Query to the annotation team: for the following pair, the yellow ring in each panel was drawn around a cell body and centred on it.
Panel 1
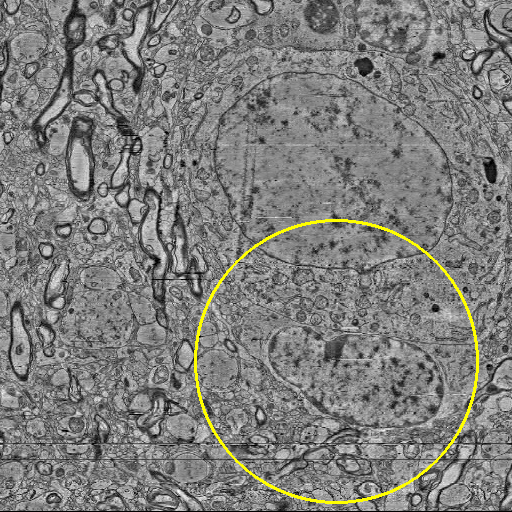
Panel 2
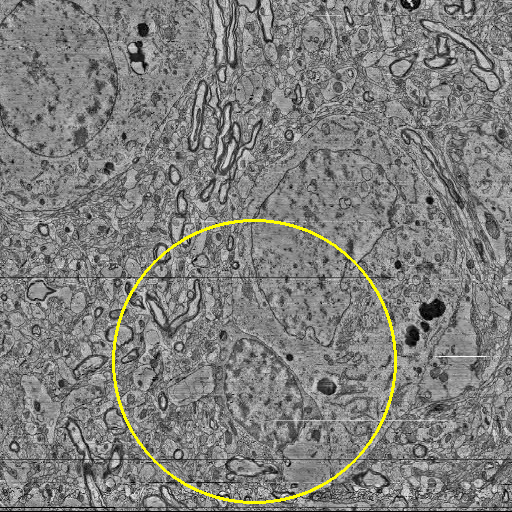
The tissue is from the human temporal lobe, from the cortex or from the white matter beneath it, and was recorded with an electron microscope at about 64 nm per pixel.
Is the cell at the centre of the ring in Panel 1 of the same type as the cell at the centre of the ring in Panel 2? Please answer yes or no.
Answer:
no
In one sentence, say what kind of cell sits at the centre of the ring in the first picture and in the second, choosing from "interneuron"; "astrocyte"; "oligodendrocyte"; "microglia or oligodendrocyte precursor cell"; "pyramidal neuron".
The first picture's ringed cell is a microglial cell or oligodendrocyte precursor cell, while the second picture's is an oligodendrocyte.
